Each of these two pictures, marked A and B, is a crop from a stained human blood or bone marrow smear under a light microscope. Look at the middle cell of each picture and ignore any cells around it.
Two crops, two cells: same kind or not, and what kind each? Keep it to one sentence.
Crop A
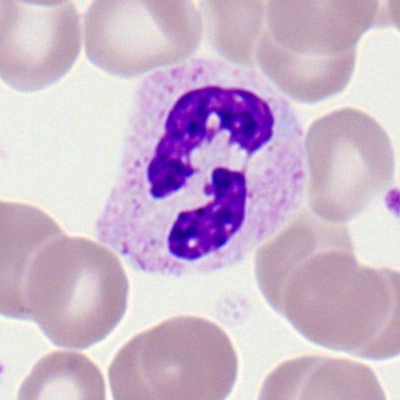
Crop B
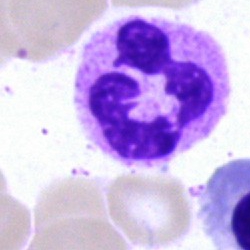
Yes, both crops show neutrophils in the centre of the field.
